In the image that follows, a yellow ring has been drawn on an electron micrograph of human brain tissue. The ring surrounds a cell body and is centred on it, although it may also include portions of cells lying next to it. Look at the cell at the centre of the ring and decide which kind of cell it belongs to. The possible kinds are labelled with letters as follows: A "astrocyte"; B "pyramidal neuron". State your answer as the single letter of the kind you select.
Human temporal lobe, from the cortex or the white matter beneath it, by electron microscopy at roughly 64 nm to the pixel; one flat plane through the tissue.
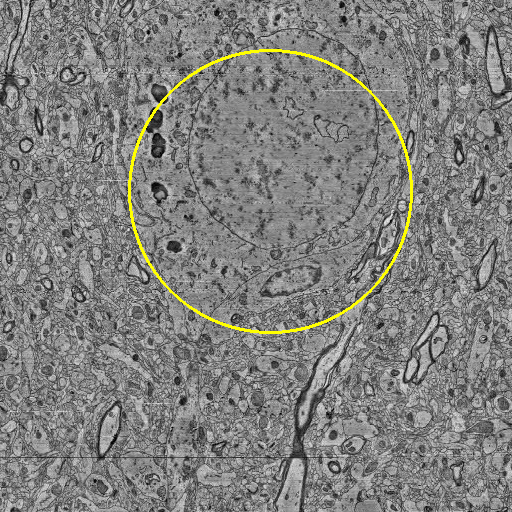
B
